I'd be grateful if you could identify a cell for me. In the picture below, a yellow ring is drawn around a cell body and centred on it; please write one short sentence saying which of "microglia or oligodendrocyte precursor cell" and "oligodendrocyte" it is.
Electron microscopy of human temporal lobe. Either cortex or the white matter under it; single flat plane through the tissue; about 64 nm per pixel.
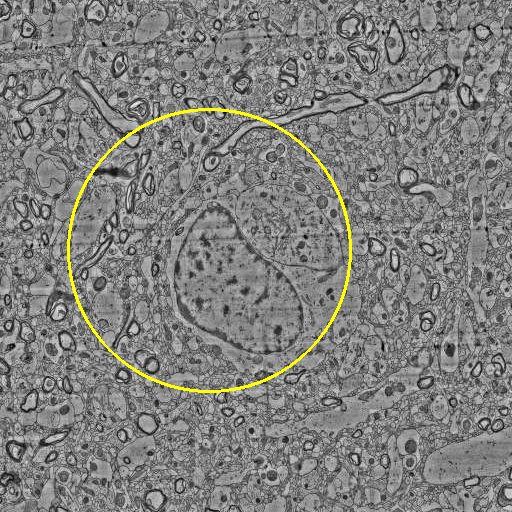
The cell under the ring's centre is a microglial cell or oligodendrocyte precursor cell.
